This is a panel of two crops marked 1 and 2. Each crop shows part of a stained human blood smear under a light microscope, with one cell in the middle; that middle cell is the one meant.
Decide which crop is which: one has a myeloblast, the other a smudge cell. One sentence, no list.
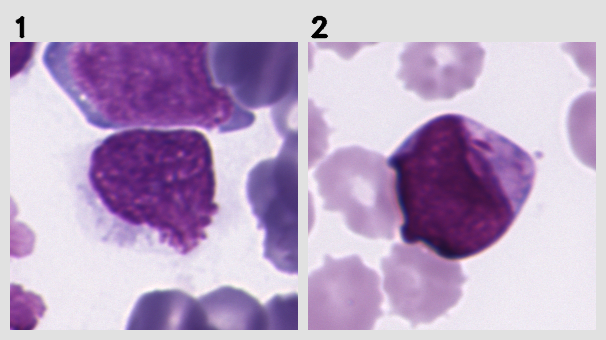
The cell in crop 1 is a smudge cell, and the one in crop 2 is a myeloblast.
